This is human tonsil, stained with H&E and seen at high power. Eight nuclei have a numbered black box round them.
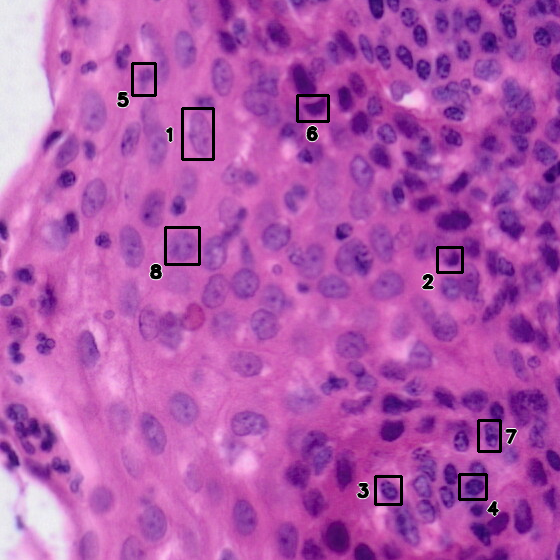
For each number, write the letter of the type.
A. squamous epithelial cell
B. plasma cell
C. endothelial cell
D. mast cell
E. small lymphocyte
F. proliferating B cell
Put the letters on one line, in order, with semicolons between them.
A; A; B; B; A; A; B; A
